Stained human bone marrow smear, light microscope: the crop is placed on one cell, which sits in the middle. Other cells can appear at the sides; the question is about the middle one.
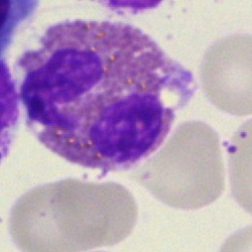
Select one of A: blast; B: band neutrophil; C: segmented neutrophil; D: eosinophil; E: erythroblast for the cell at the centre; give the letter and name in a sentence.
The central cell, an eosinophil, is correctly identified by option D.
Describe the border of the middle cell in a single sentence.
Along its border, the cell is uneven, whether by ragged stretches or by projections.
